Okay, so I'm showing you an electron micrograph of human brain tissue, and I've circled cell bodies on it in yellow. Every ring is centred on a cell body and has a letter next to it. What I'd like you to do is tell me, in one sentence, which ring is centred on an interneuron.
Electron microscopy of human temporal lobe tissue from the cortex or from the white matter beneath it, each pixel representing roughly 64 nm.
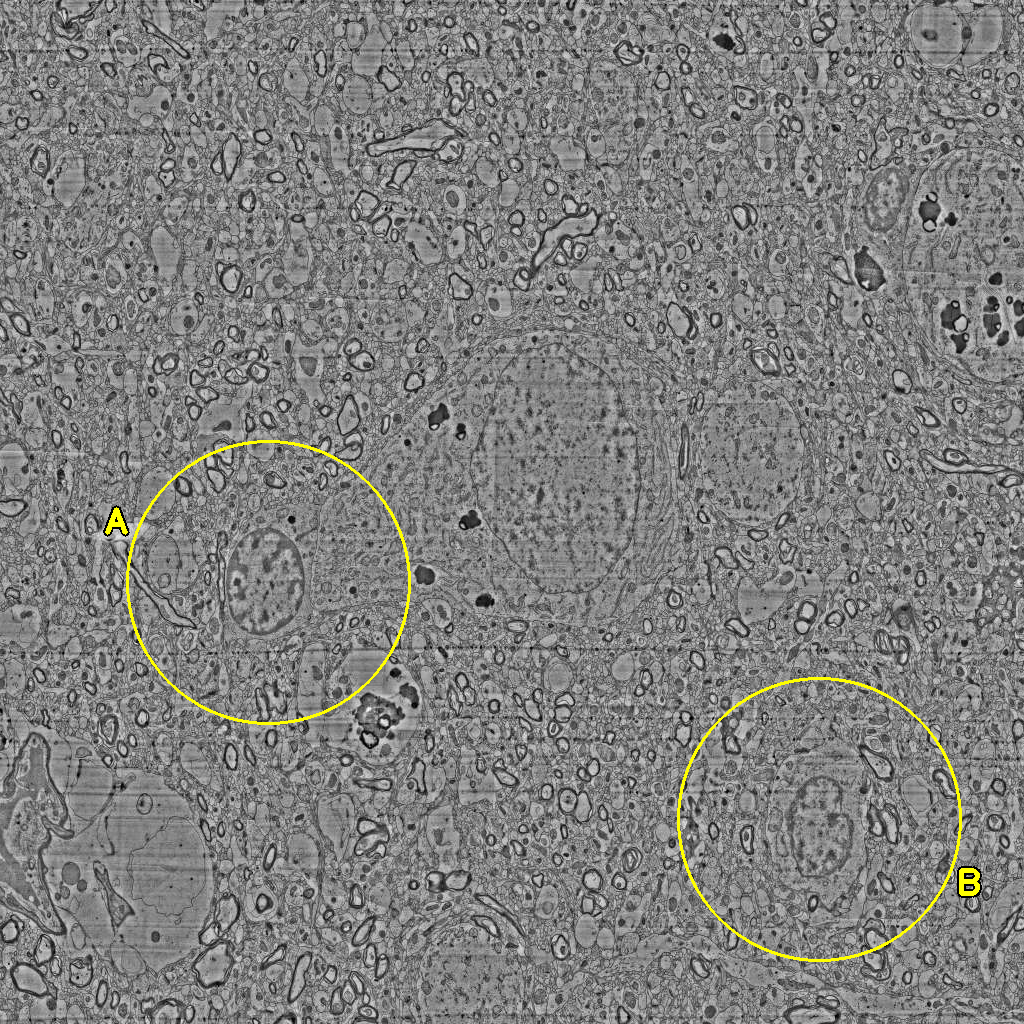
It's ring B.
